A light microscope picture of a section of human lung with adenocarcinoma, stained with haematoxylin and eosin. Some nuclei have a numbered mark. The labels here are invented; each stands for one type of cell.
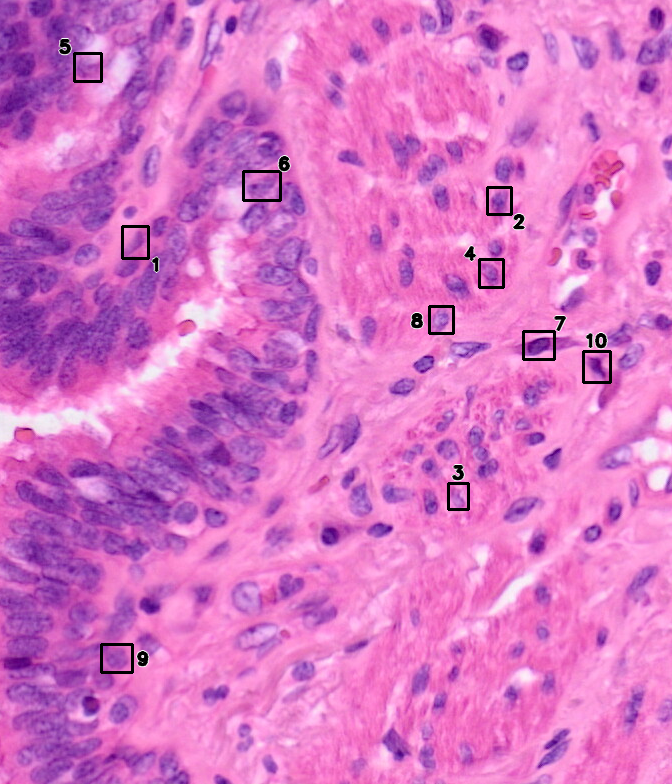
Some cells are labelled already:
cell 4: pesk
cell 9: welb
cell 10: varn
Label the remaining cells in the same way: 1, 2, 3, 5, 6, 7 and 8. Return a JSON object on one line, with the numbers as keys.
{"1": "welb", "2": "pesk", "3": "pesk", "5": "welb", "6": "welb", "7": "varn", "8": "pesk"}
